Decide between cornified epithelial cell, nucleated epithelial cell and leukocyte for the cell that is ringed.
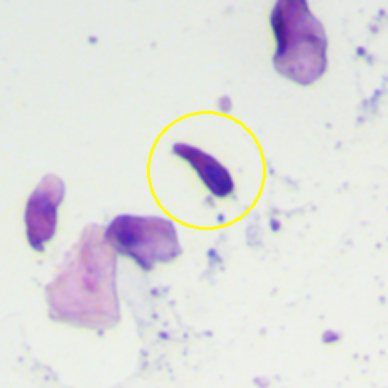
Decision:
I take the ringed cell for a nucleated epithelial cell.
